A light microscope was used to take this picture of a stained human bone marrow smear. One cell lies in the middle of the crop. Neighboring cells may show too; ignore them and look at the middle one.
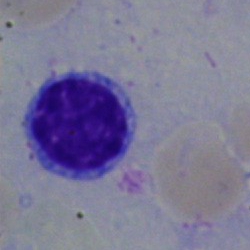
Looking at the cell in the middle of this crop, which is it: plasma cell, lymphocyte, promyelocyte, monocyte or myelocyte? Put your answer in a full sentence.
What sits at the centre of this crop is a lymphocyte.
